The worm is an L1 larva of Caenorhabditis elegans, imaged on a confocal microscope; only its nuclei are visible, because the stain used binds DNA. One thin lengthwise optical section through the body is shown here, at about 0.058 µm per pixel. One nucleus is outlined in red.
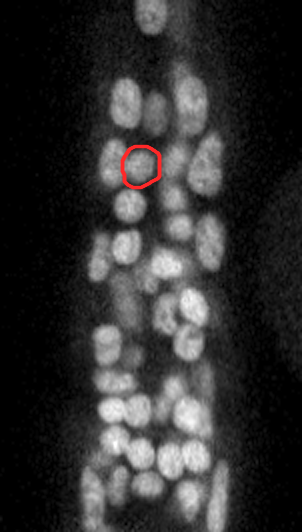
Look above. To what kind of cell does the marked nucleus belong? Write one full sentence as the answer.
The marked nucleus belongs to a hypodermal cell (hyp).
